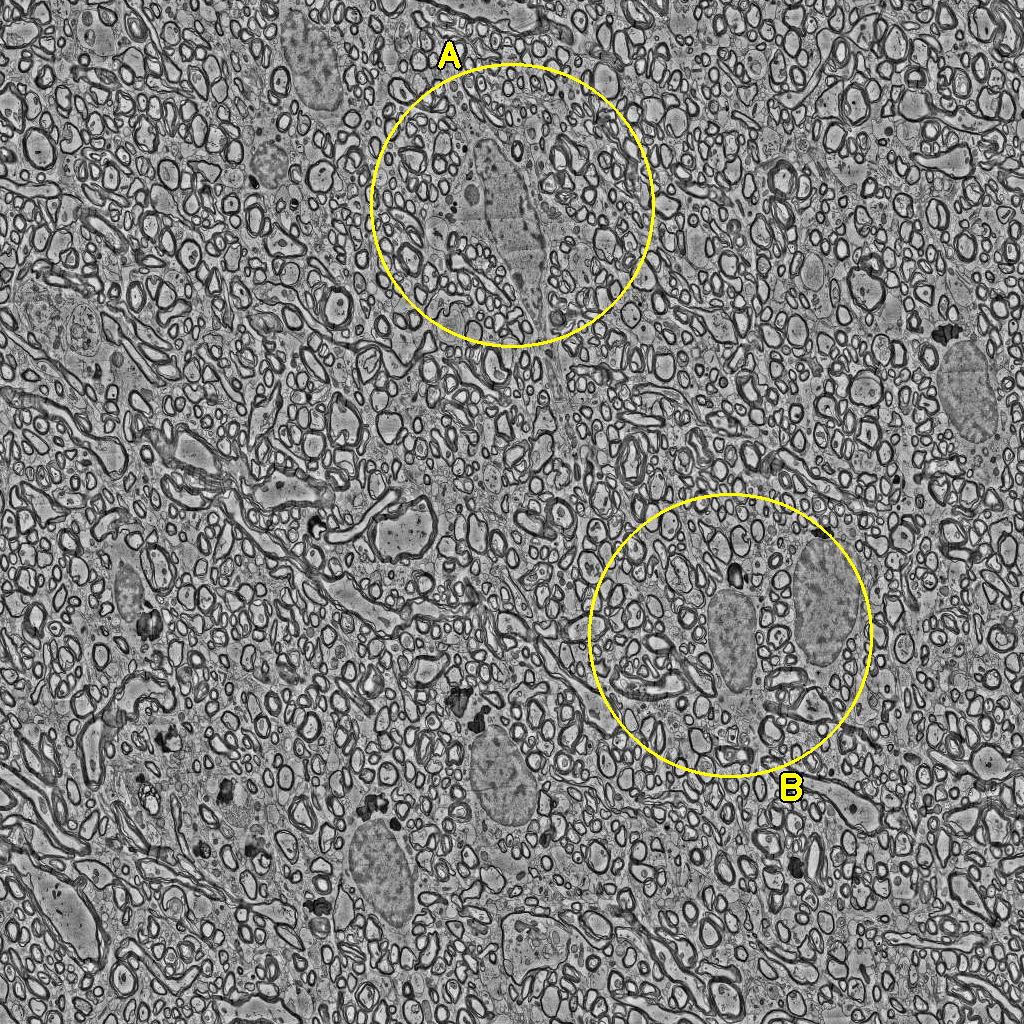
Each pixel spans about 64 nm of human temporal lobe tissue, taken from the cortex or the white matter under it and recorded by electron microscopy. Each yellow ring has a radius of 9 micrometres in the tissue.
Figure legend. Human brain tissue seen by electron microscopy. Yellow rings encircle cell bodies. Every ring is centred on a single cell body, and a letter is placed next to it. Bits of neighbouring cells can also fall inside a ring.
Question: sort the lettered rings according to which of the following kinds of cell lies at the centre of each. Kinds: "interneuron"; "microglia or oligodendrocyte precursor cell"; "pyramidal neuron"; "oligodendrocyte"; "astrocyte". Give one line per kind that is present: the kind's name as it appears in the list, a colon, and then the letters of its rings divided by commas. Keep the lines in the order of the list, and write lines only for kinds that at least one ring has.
oligodendrocyte: B
astrocyte: A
